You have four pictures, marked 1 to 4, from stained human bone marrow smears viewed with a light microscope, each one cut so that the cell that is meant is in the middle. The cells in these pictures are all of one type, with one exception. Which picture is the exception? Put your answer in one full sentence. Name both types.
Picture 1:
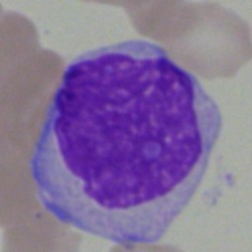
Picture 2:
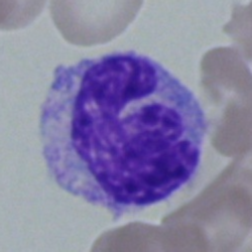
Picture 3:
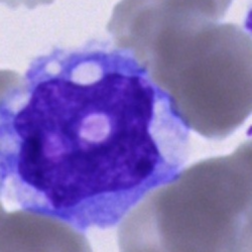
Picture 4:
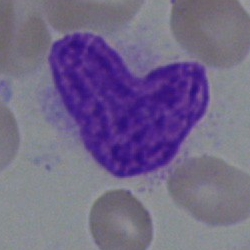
The different one is picture 1; it shows a blast, whereas all the others show monocytes.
